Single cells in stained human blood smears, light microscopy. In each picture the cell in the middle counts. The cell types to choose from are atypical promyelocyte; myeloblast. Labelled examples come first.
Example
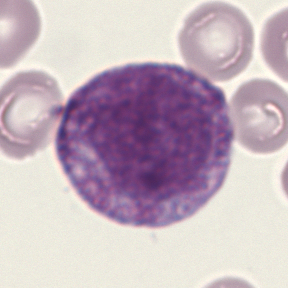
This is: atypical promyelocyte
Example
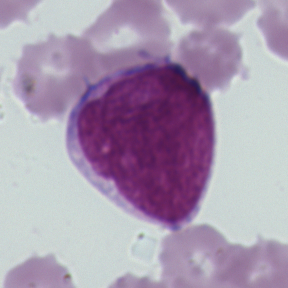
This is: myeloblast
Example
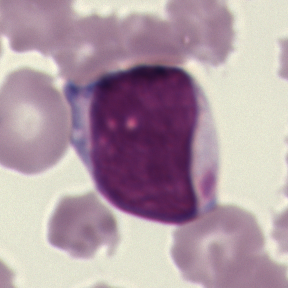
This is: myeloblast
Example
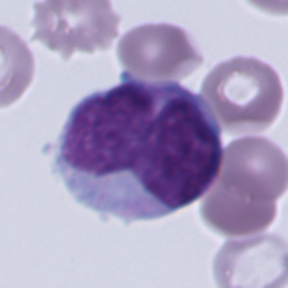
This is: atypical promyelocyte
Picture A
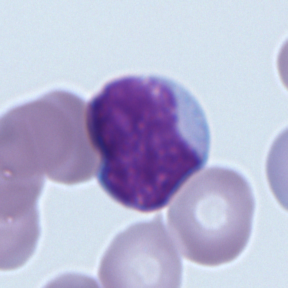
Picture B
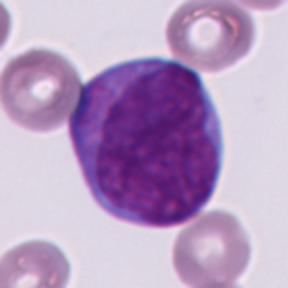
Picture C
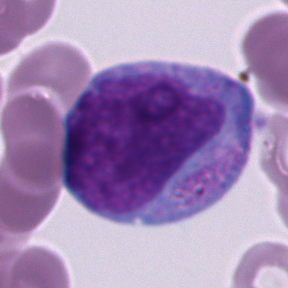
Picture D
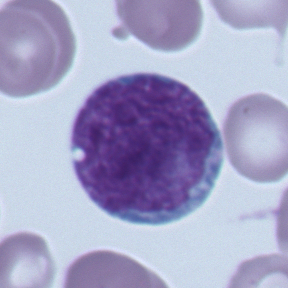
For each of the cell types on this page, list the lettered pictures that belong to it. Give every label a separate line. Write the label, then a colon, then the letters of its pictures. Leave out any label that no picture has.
atypical promyelocyte: B, C
myeloblast: A, D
